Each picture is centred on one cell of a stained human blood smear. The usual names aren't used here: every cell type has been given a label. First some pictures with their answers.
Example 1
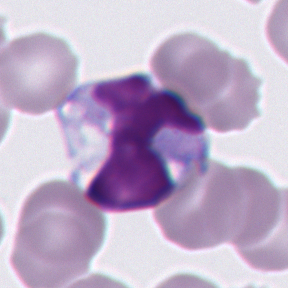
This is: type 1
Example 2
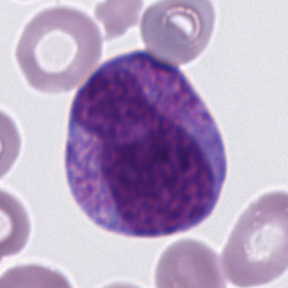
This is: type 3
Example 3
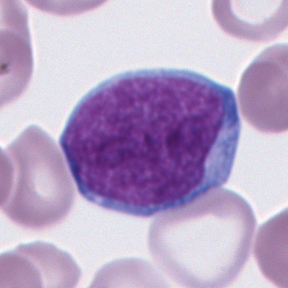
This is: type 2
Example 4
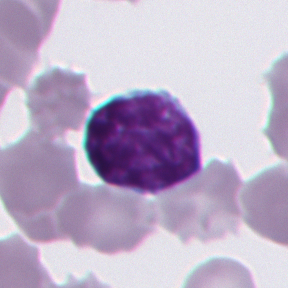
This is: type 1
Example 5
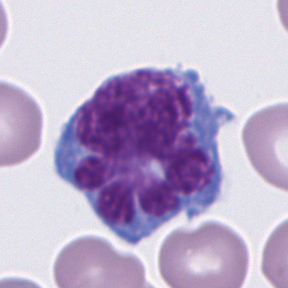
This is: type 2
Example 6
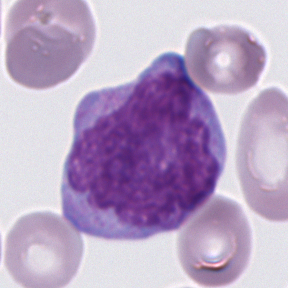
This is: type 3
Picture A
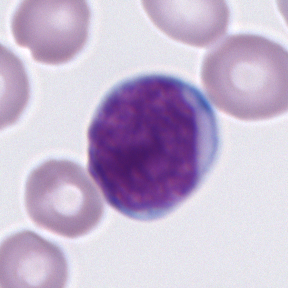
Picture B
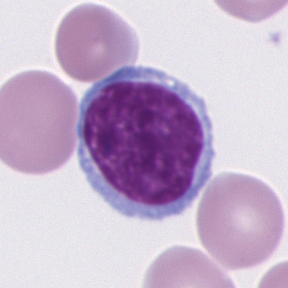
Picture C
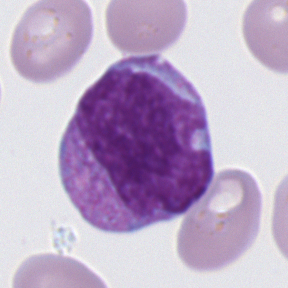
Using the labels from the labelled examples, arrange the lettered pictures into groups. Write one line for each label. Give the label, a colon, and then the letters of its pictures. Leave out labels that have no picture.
type 1: B
type 3: C
type 2: A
